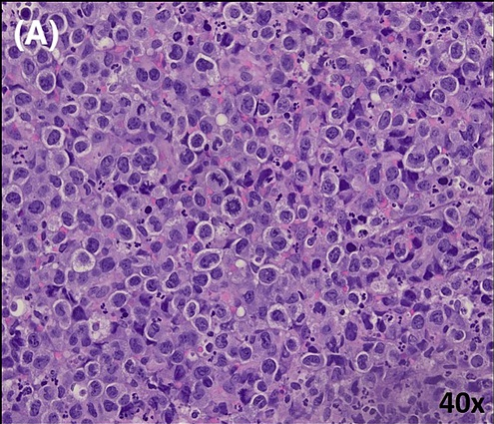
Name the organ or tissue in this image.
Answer: Sheets of large pleomorphic cells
